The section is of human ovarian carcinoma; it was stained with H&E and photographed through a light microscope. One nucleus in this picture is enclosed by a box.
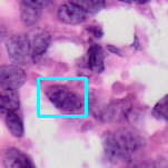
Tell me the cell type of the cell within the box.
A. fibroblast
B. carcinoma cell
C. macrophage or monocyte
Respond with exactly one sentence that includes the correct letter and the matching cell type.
The correct response is option B: the cell within the box is a carcinoma cell.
